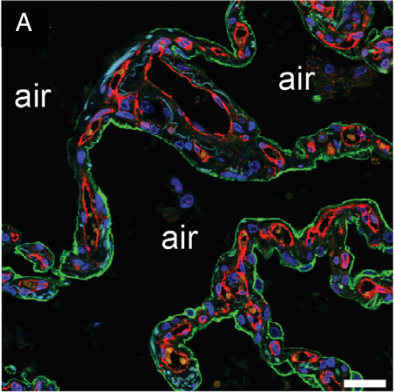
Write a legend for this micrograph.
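This is normal lung parenchyma with large black air spaces separated by thin alveolar walls. Each wall carries red-lined capillaries, some holding small round bodies in their lumen, with scattered blue nuclei. A fine continuous green layer of pneumocytes covers both faces of every wall where it meets the air.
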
